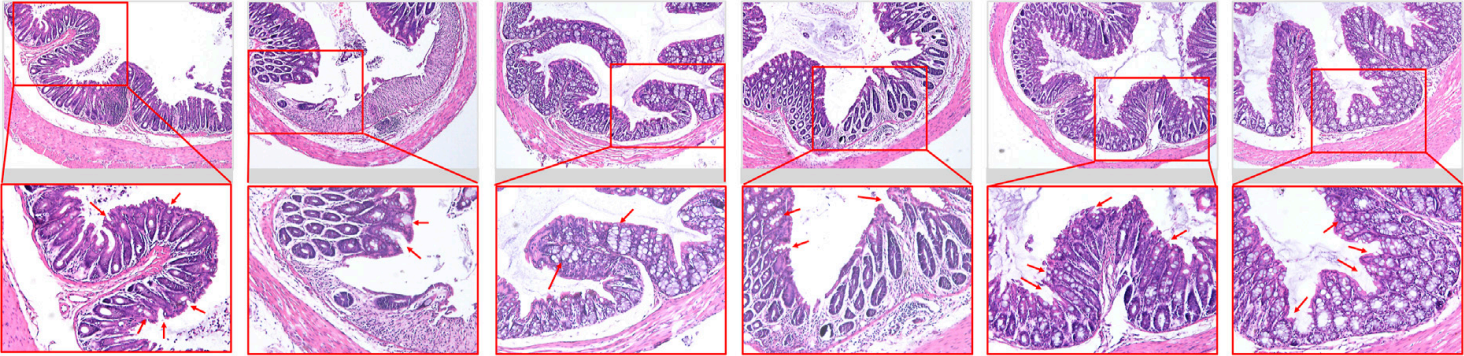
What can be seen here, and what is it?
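Sections of colon wall stained pink and purple show the mucosa with tubular crypts lined by purple-nucleated epithelium, above a pink muscular layer. Many crypts contain pale, rounded goblet cells among the epithelial cells. In some views the crypt architecture looks disordered or sparse, with a thickened, more cellular layer beneath.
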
